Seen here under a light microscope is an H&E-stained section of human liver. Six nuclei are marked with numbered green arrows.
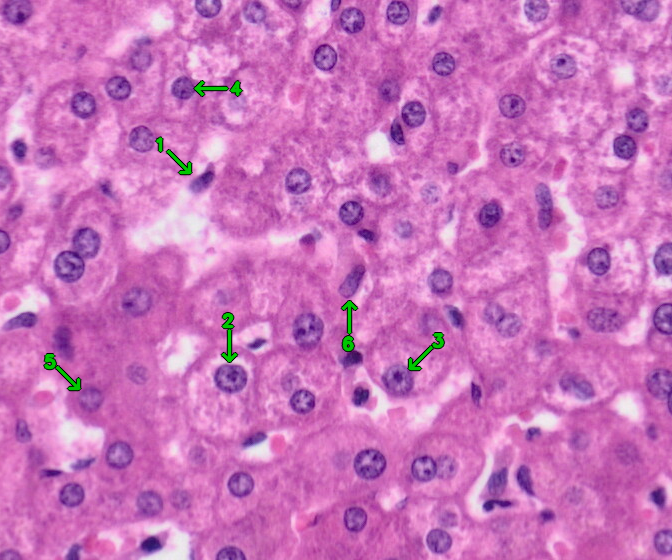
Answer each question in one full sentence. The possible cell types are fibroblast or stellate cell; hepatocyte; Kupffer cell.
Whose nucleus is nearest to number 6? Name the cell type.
Number 6 lies closest to the nucleus of a fibroblast or stellate cell.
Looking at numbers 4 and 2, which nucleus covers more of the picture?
The larger nucleus is 2, at roughly 2 times the area of 4.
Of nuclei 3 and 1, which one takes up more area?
Nucleus 3 covers more area, about 2 times as much as nucleus 1.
